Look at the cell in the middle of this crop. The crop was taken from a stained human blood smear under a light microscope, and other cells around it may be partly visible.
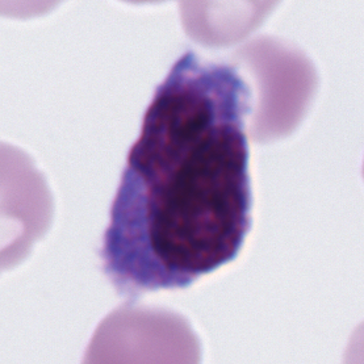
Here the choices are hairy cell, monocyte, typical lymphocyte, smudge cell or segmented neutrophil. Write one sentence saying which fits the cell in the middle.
The cell centered in this field of view is a monocyte.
